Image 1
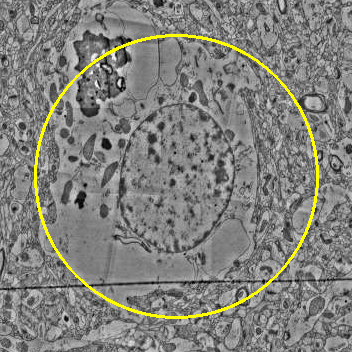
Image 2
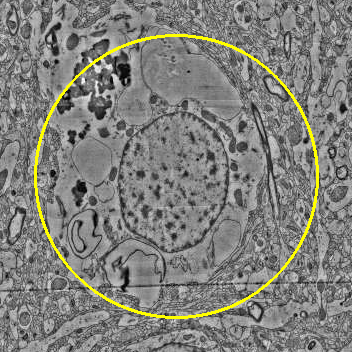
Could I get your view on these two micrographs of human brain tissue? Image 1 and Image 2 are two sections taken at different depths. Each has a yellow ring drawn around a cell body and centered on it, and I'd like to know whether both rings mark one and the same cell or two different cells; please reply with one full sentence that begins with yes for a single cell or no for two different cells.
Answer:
Yes, one cell appears twice, once in each ring.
